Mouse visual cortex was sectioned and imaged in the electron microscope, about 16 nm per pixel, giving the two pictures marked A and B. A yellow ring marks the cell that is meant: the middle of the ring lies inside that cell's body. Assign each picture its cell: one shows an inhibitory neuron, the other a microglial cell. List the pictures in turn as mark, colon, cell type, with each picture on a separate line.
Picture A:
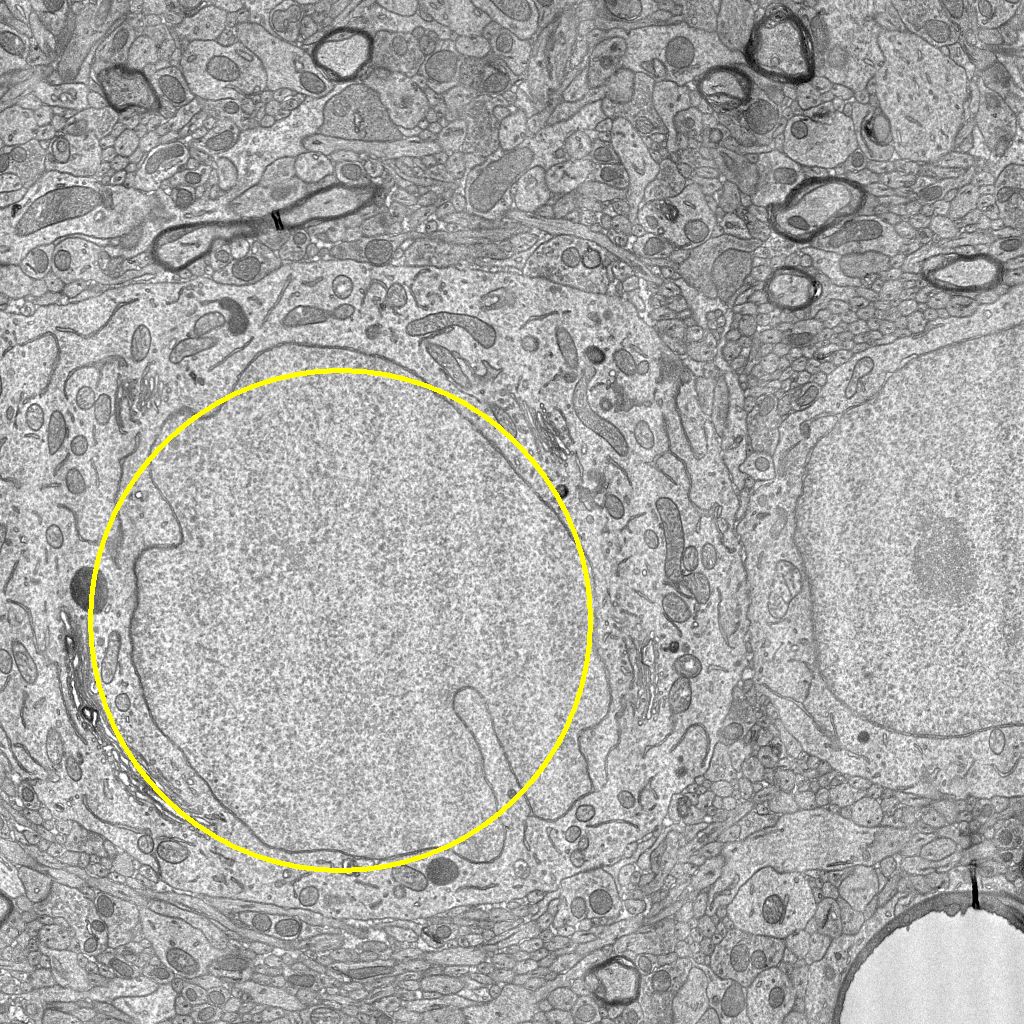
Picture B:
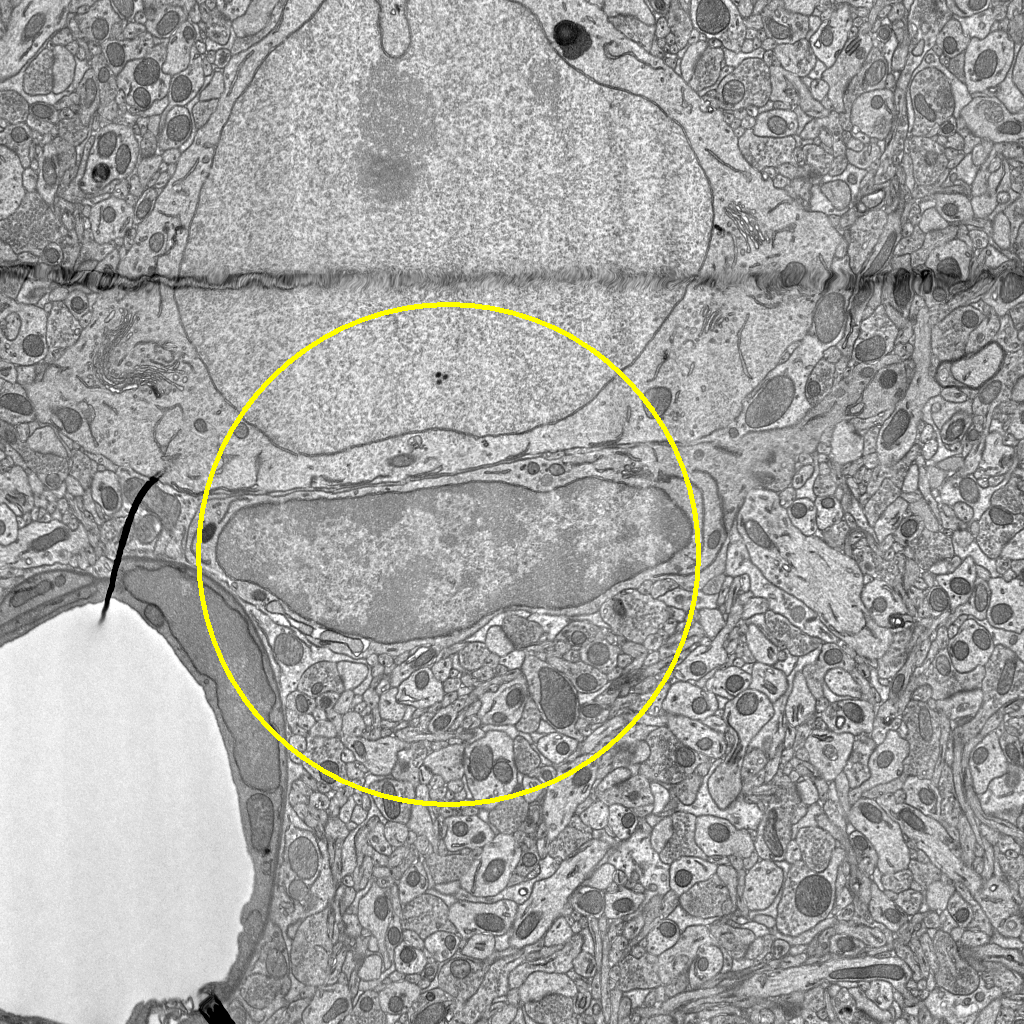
A: inhibitory neuron
B: microglial cell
